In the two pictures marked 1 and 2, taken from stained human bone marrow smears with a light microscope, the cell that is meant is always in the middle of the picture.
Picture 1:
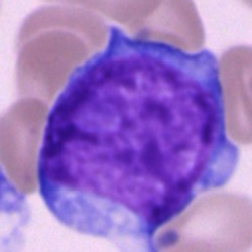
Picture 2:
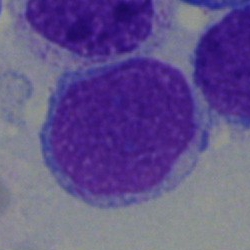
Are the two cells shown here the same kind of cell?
yes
